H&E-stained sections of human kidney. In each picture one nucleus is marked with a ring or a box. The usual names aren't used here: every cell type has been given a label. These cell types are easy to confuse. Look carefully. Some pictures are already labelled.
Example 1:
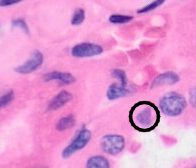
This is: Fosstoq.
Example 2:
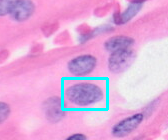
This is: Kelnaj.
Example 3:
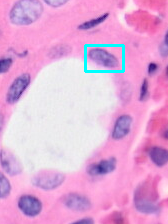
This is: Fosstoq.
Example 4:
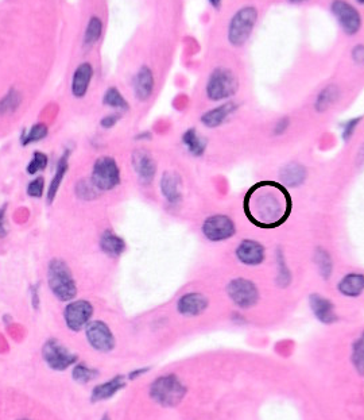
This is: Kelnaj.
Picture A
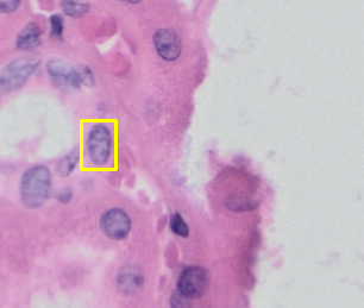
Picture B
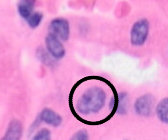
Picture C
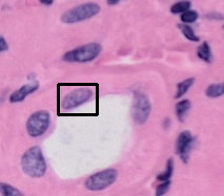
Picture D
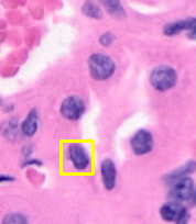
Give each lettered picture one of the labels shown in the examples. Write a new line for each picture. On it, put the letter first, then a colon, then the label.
A: Kelnaj.
B: Kelnaj.
C: Fosstoq.
D: Fosstoq.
